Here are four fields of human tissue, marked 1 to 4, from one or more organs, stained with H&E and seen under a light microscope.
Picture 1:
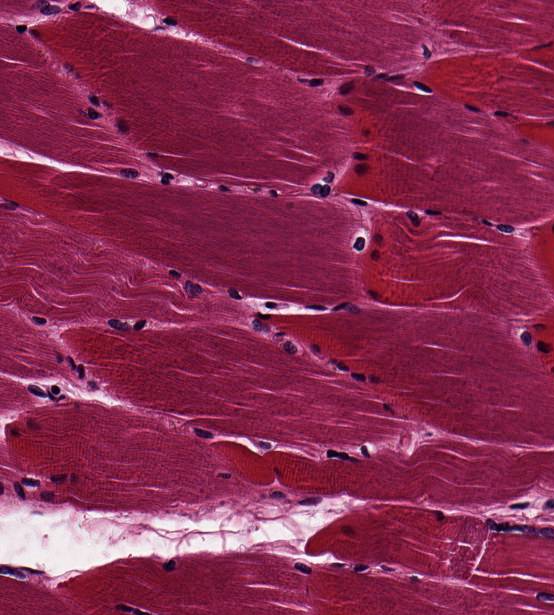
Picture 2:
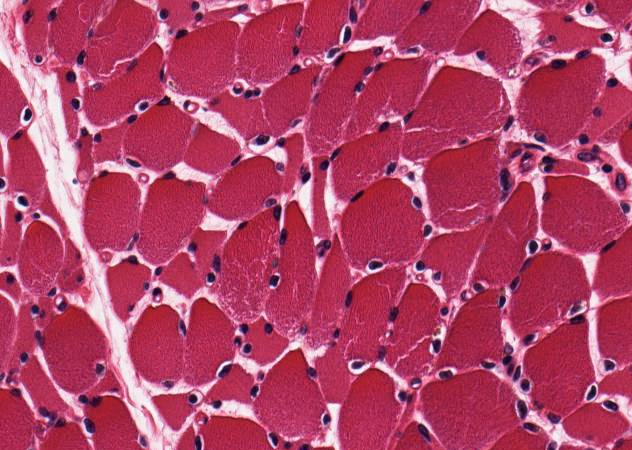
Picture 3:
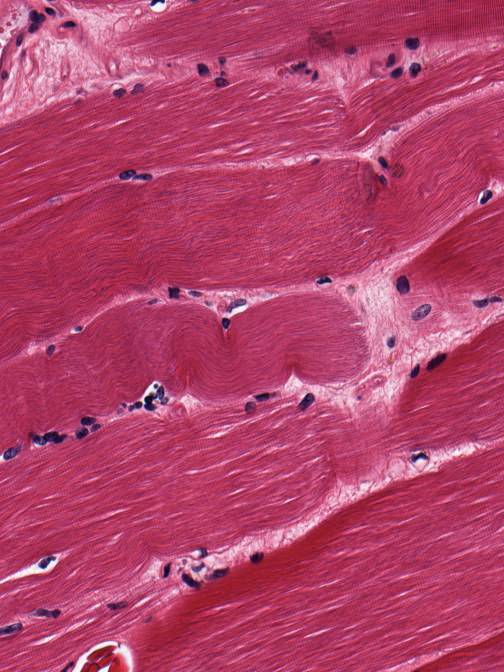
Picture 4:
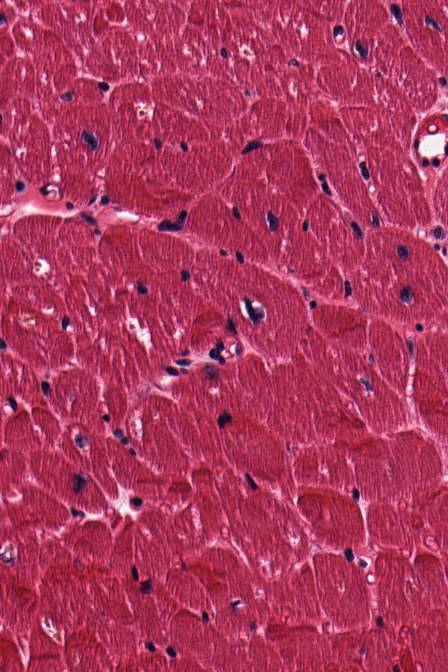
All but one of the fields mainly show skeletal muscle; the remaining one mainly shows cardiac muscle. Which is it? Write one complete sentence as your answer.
The one that mainly shows cardiac muscle is picture 4.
